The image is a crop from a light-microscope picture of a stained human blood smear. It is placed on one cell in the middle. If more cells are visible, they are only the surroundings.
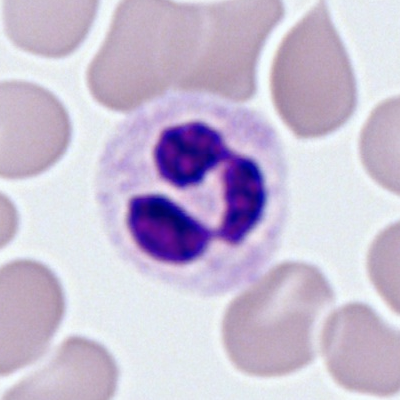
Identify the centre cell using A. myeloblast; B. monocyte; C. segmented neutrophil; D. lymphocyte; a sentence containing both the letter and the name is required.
The correct option, C, names the middle cell as a segmented neutrophil.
